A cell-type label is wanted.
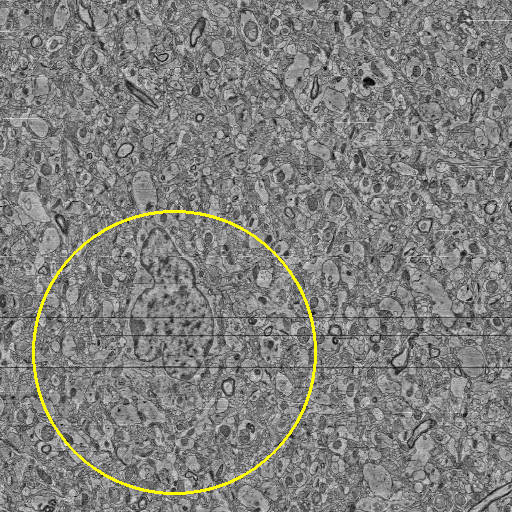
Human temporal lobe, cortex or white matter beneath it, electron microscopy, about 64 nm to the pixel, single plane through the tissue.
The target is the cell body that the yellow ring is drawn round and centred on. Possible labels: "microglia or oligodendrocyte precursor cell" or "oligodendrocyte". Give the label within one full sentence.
Of the labels offered, the cell in the middle of the yellow ring is a microglial cell or oligodendrocyte precursor cell.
